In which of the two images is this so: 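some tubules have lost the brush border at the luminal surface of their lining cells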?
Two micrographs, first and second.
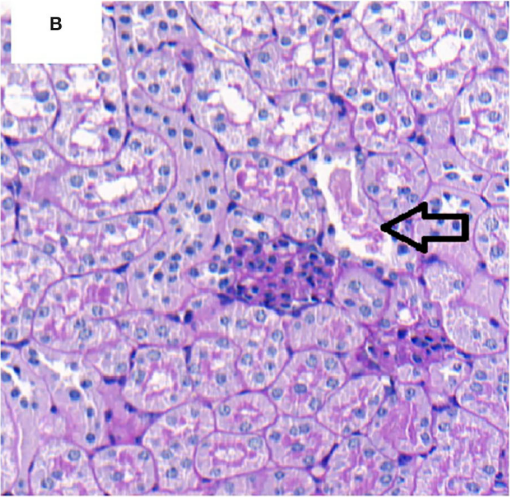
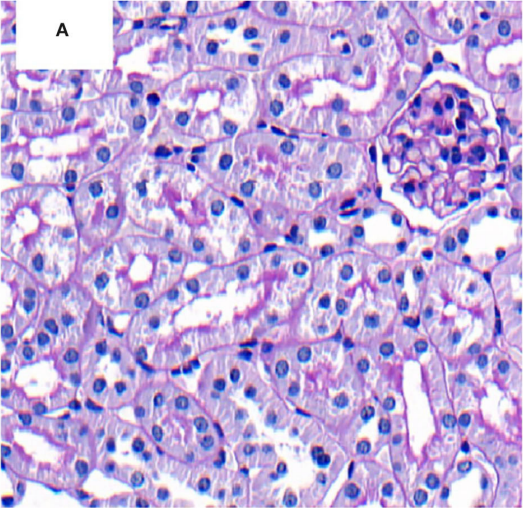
The first image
